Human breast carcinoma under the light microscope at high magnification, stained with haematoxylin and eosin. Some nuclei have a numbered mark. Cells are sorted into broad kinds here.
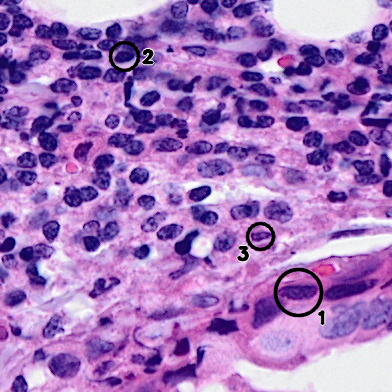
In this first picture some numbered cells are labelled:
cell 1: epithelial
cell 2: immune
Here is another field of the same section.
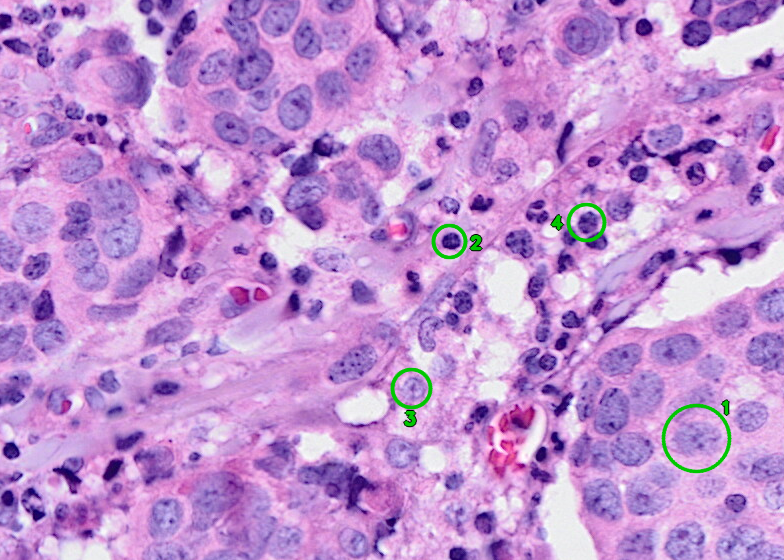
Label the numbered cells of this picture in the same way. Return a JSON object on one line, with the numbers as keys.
{"1": "epithelial", "2": "immune", "3": "immune", "4": "immune"}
